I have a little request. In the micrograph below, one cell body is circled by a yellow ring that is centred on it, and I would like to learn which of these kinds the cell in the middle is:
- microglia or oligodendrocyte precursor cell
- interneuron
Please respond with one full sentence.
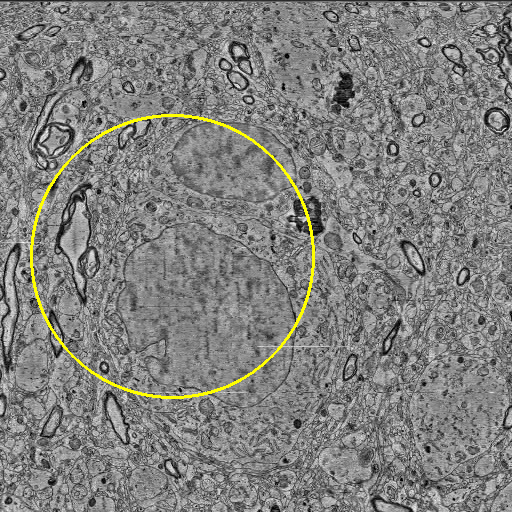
The cell sitting in the middle of the yellow ring in the micrograph is an interneuron.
